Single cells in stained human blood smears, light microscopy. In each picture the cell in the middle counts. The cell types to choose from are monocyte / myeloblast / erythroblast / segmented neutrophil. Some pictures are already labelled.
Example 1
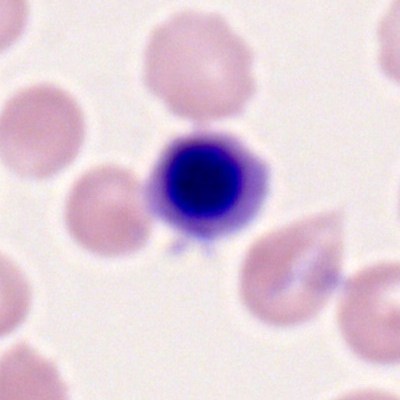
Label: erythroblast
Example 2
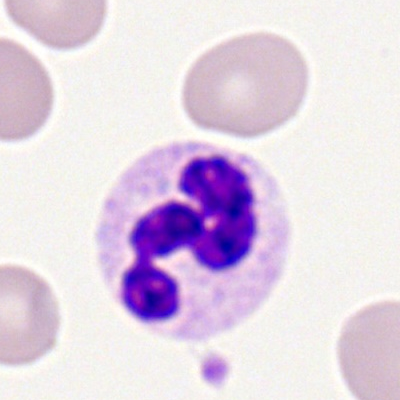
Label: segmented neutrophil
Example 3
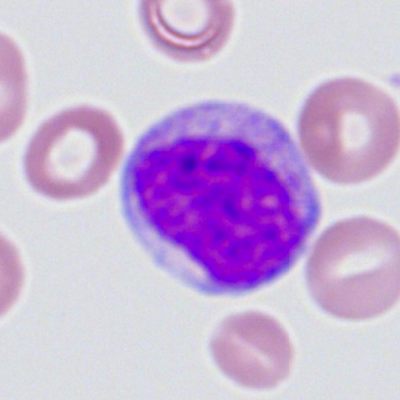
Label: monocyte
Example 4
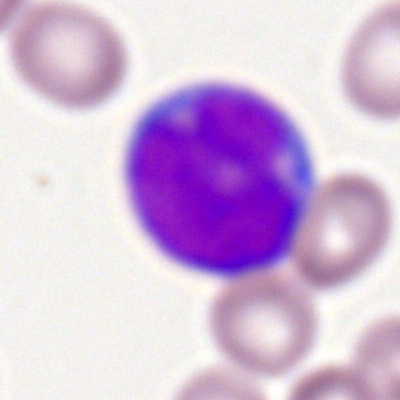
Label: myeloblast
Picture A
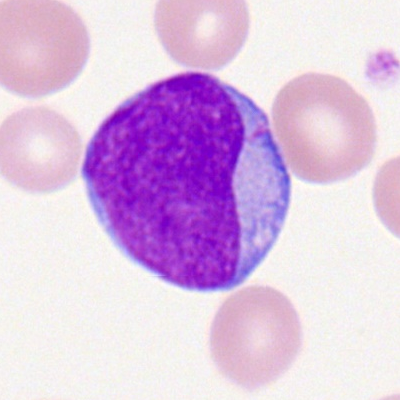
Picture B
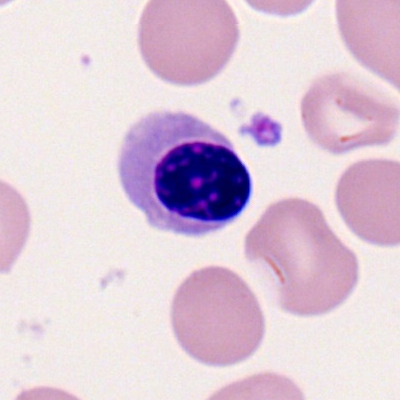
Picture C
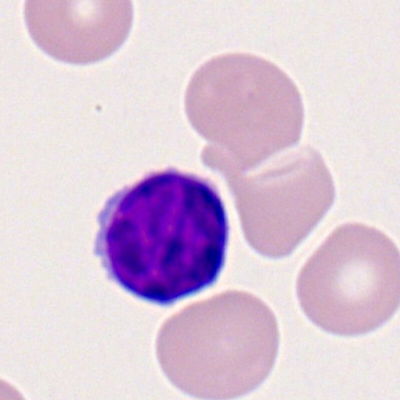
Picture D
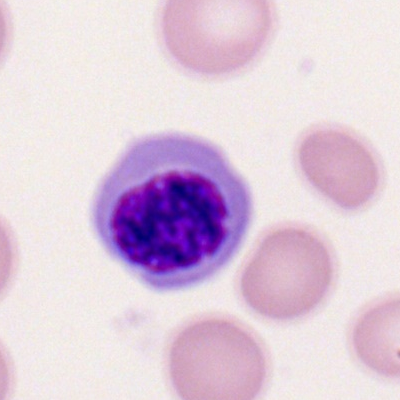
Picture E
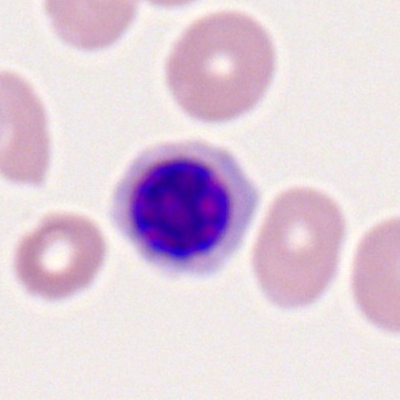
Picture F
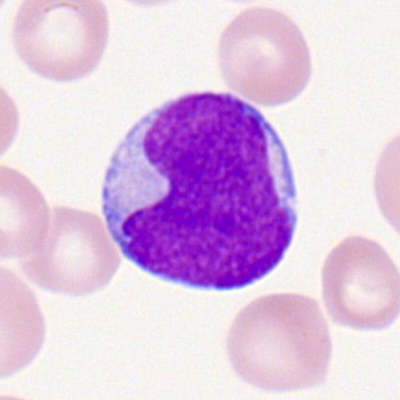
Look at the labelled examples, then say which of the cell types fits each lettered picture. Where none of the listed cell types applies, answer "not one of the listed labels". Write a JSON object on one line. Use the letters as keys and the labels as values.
{"A": "myeloblast", "B": "erythroblast", "C": "not one of the listed labels", "D": "erythroblast", "E": "erythroblast", "F": "myeloblast"}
